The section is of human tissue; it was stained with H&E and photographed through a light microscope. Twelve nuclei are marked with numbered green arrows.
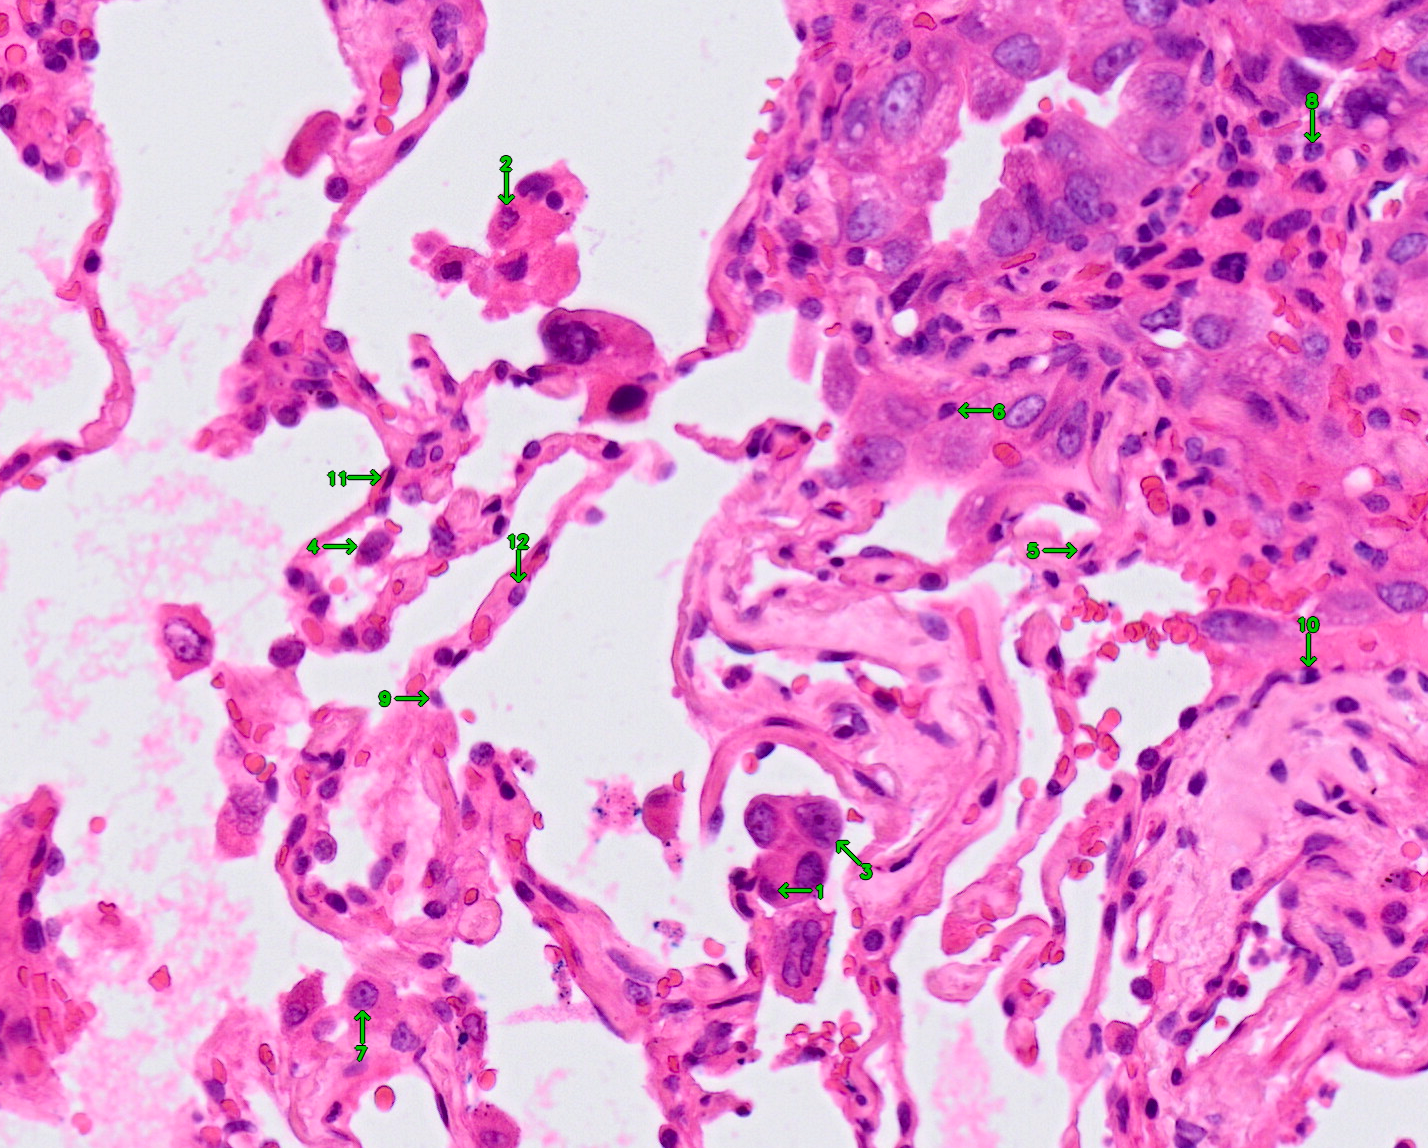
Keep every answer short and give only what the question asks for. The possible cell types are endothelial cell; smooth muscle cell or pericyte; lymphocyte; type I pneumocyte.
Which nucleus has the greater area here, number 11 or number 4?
4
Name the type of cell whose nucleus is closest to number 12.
endothelial cell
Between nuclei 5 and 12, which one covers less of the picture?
5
